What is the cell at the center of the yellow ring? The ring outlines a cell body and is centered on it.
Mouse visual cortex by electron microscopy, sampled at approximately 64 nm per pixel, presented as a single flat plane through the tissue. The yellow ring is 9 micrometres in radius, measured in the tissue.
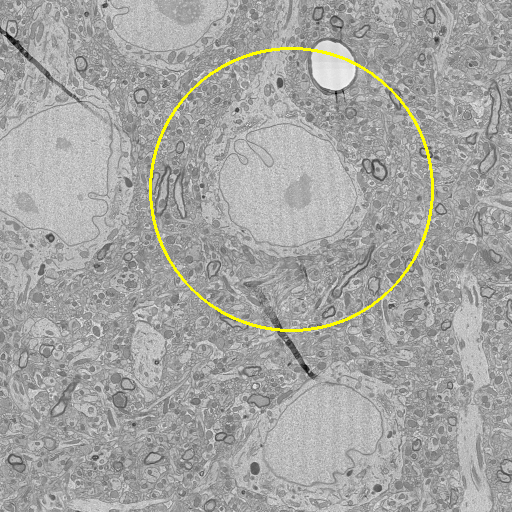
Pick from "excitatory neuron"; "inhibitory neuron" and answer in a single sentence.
The yellow ring is centered on an excitatory neuron.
